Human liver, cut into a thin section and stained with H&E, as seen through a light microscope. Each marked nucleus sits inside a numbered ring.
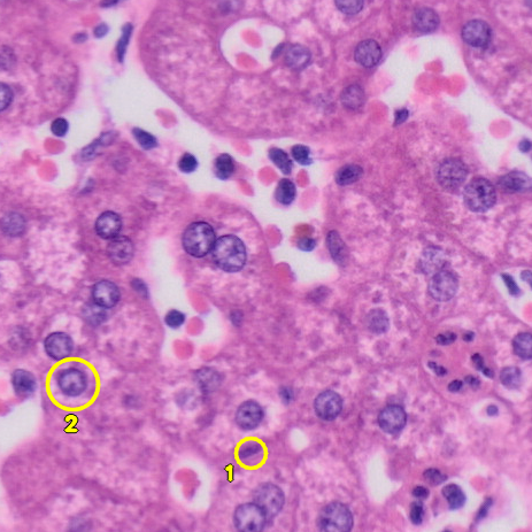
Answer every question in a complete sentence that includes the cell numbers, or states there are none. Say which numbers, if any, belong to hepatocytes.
Only cell 2 should be marked as a hepatocyte.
